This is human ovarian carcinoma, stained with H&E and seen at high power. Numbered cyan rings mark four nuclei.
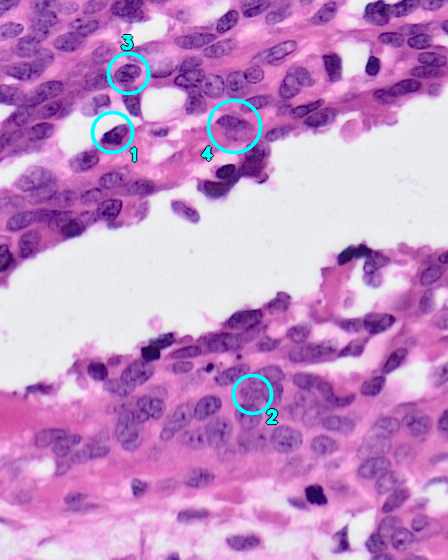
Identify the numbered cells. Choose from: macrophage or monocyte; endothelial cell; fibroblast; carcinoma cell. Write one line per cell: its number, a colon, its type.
1: carcinoma cell
2: carcinoma cell
3: macrophage or monocyte
4: carcinoma cell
